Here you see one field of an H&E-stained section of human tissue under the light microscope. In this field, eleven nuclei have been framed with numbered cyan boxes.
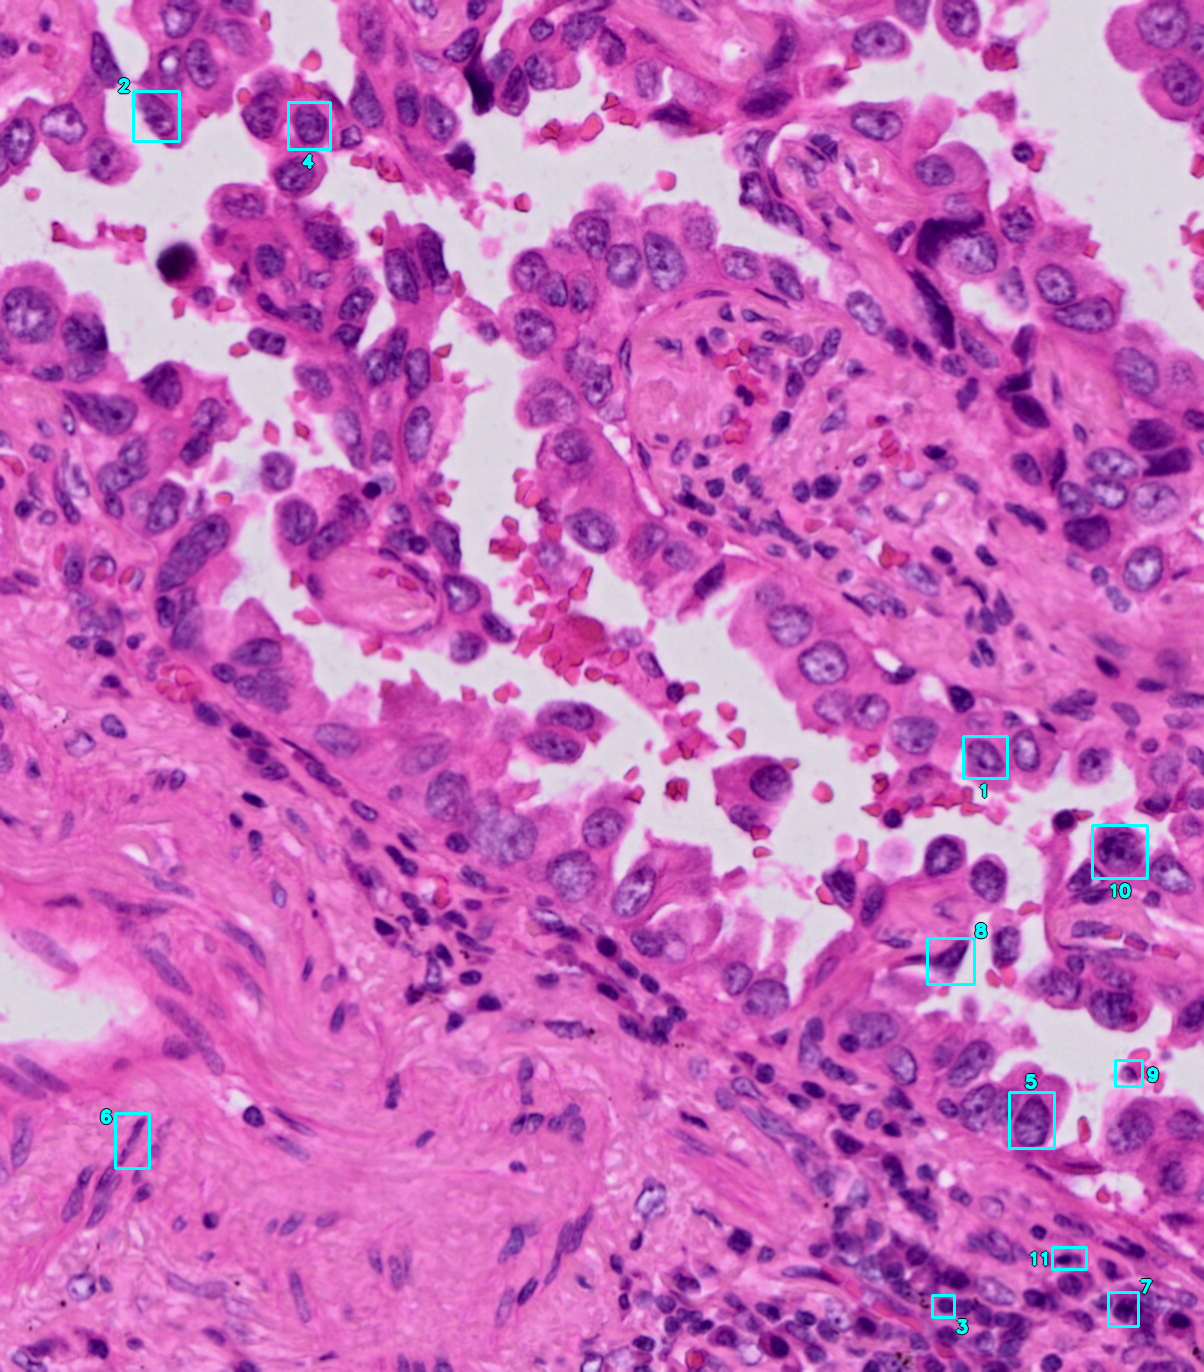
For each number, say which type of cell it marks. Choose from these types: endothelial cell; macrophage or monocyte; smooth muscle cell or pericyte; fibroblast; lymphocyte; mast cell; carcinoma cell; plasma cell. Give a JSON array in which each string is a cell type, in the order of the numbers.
["carcinoma cell", "carcinoma cell", "lymphocyte", "carcinoma cell", "carcinoma cell", "smooth muscle cell or pericyte", "plasma cell", "carcinoma cell", "lymphocyte", "carcinoma cell", "plasma cell"]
